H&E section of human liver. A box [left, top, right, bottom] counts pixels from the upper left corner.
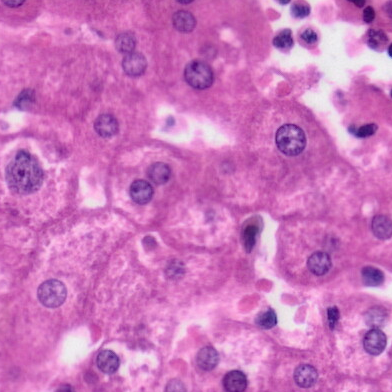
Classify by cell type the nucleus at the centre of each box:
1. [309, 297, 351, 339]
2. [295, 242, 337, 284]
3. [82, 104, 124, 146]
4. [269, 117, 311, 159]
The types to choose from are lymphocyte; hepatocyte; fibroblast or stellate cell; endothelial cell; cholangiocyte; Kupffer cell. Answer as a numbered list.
1. fibroblast or stellate cell
2. hepatocyte
3. hepatocyte
4. hepatocyte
